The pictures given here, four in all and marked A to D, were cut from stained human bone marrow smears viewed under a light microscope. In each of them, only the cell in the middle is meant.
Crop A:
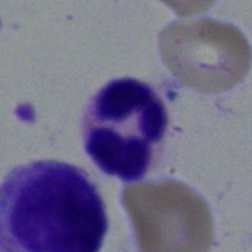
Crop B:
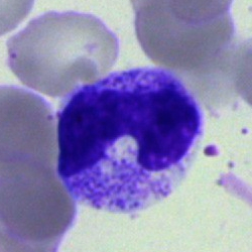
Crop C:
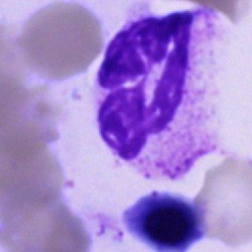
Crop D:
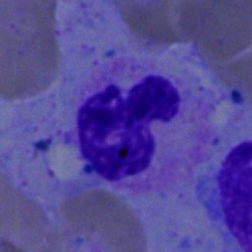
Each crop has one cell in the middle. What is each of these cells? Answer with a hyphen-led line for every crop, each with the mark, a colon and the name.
- A: segmented neutrophil
- B: band neutrophil
- C: segmented neutrophil
- D: segmented neutrophil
